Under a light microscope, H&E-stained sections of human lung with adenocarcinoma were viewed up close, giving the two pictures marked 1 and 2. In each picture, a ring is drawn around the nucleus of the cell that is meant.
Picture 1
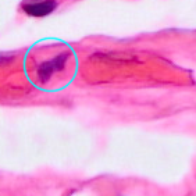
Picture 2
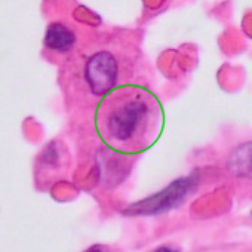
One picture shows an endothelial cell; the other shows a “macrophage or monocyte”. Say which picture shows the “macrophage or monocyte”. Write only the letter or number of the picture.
2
